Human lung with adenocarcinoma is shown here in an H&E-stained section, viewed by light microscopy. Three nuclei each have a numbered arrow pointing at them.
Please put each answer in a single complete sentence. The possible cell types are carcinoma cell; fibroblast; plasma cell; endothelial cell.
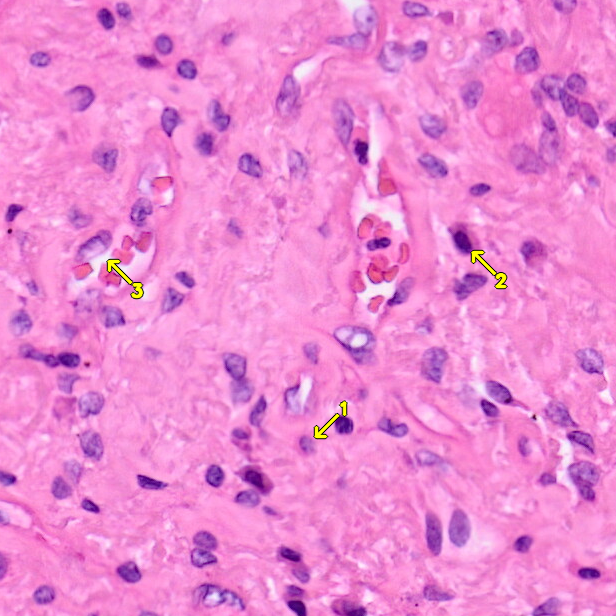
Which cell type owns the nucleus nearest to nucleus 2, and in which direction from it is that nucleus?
Lying below nucleus 2, the nearest nucleus is that of a fibroblast.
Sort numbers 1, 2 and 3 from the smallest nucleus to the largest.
By area, going up from the smallest, they rank 1, 2, 3.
